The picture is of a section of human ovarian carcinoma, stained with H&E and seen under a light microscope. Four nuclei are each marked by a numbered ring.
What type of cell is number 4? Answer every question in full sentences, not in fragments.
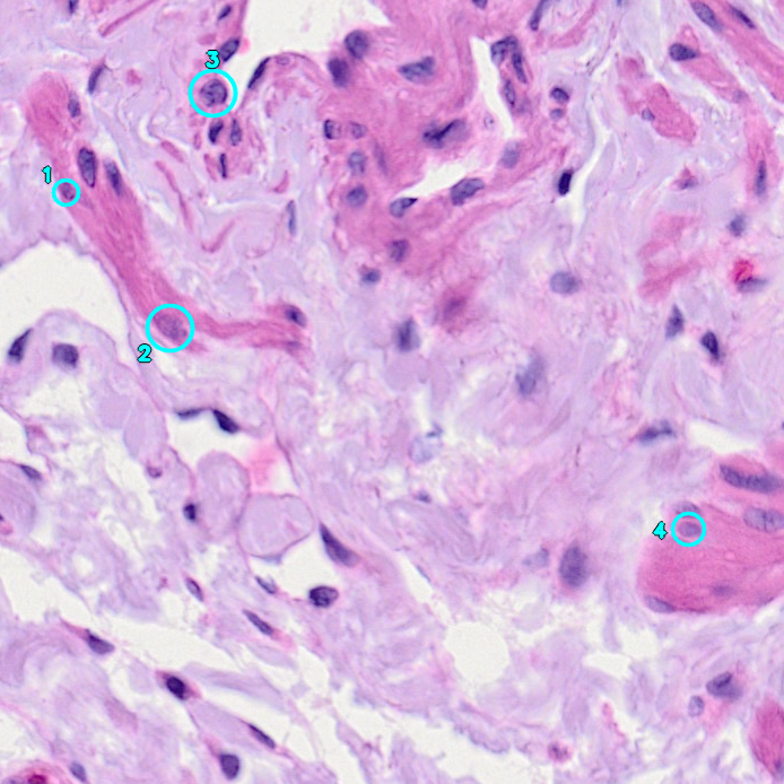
The cell assigned the number 4 is a smooth muscle cell.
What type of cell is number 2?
Nucleus 2 in this section belongs to a smooth muscle cell.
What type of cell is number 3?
The correct label for cell 3 is an endothelial cell.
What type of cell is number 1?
The cell to which the number 1 is assigned is a smooth muscle cell.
